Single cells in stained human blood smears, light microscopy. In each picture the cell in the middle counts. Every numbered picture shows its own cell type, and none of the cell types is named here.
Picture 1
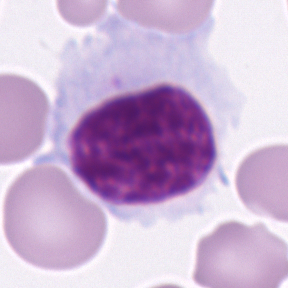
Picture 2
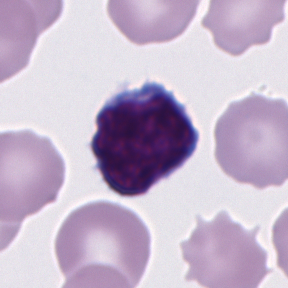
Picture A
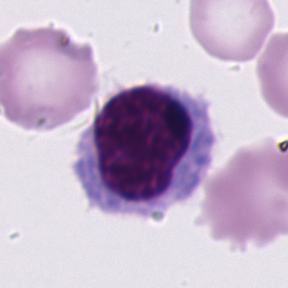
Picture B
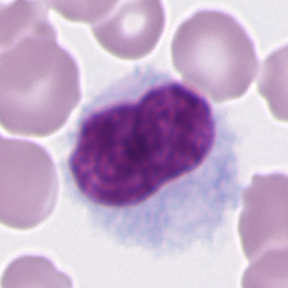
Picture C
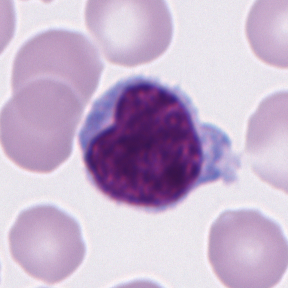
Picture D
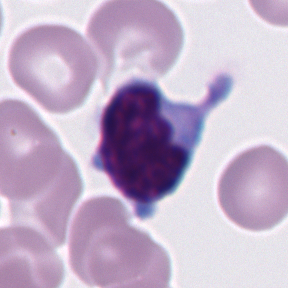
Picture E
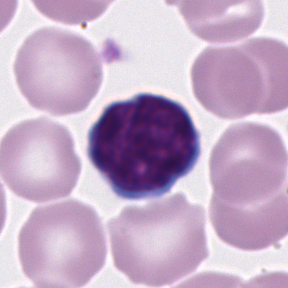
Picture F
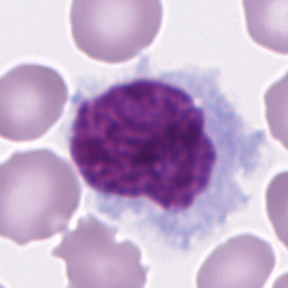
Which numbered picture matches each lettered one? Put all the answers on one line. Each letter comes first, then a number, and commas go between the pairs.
A 1, B 1, C 2, D 2, E 2, F 1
